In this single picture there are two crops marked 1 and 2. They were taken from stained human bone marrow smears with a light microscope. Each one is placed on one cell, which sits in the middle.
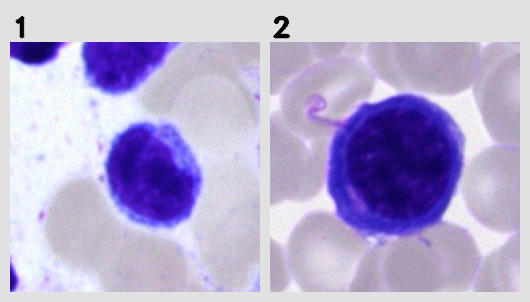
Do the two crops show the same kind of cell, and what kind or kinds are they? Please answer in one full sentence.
No, the correct reading is a lymphocyte in crop 1 and an erythroblast in crop 2.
